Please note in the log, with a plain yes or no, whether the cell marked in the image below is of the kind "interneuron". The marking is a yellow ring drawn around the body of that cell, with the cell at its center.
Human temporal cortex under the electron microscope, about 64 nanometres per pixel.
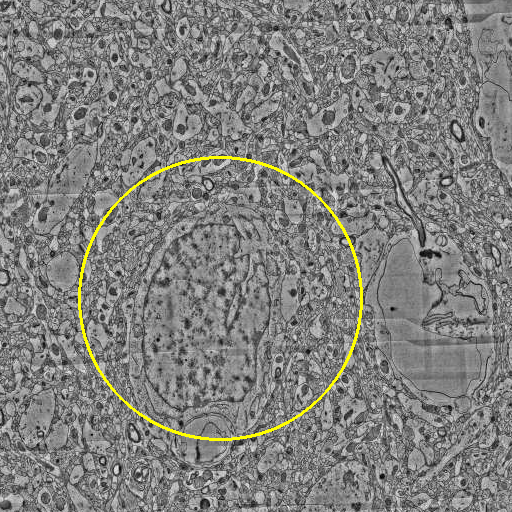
yes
